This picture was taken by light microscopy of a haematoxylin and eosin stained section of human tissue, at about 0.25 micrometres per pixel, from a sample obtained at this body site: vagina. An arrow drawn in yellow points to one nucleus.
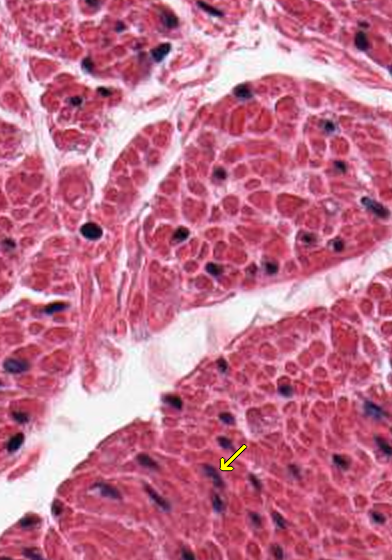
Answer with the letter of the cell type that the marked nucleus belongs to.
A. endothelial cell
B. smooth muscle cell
B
